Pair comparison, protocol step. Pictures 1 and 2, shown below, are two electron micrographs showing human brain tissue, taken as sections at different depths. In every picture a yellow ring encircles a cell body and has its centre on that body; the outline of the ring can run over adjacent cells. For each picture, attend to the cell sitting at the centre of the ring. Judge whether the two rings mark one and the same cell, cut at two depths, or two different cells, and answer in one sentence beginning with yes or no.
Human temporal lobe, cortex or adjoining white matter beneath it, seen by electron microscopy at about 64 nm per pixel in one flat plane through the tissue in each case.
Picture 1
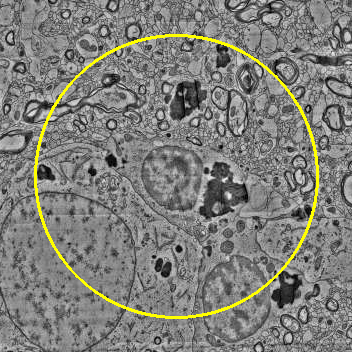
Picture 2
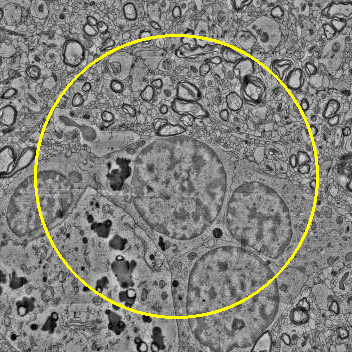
Yes, what the two rings mark is one cell.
